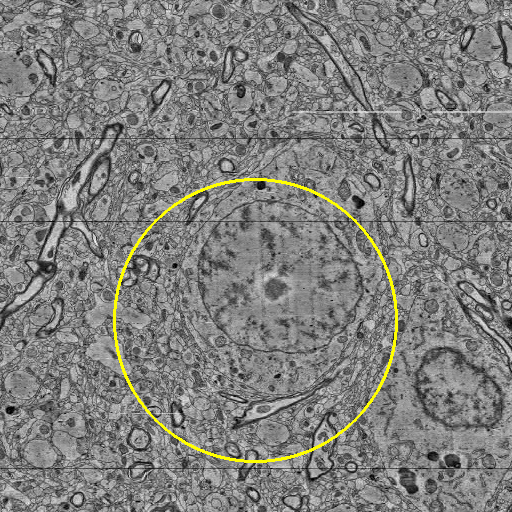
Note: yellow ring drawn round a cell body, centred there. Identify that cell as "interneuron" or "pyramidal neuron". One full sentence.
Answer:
The cell in the middle of the ring is a pyramidal neuron.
